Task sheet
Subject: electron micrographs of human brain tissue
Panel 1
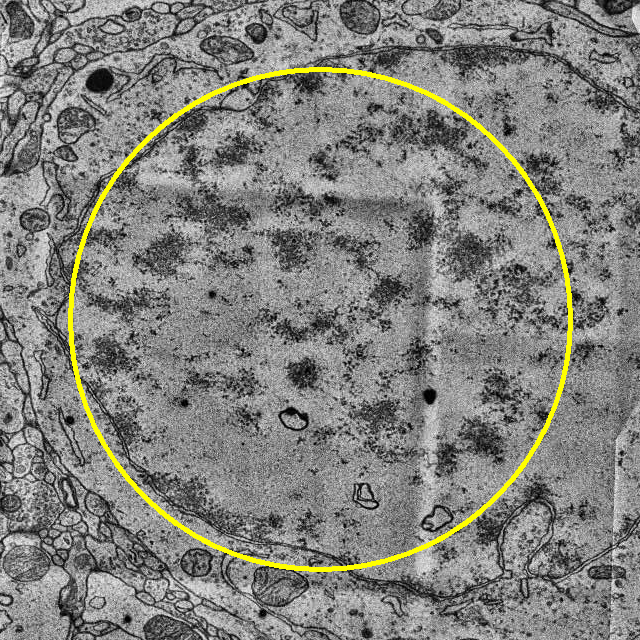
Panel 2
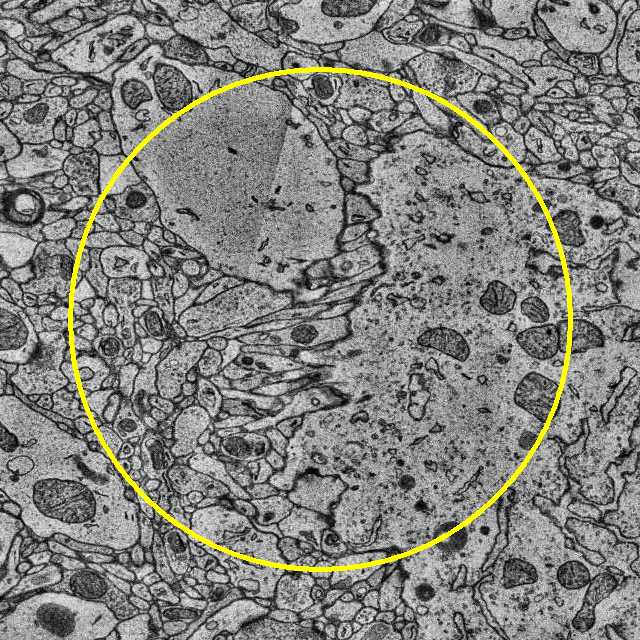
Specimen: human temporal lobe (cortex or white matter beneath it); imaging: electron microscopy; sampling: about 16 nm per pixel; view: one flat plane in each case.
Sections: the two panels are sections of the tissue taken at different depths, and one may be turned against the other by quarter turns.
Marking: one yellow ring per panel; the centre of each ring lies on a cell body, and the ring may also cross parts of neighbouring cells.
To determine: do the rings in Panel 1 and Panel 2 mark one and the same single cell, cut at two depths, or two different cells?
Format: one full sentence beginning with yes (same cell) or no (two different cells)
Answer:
Yes, the second ring marks the same cell as the first.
